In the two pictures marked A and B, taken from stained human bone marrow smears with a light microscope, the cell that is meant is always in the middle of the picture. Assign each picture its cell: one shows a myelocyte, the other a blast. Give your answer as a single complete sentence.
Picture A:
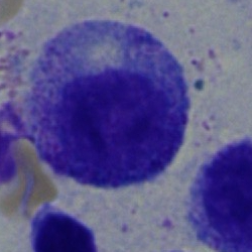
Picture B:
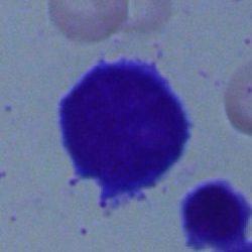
Picture A shows a myelocyte and picture B shows a blast.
